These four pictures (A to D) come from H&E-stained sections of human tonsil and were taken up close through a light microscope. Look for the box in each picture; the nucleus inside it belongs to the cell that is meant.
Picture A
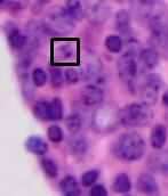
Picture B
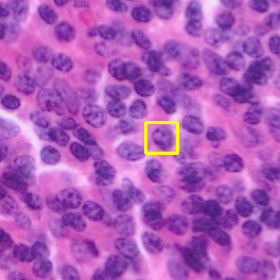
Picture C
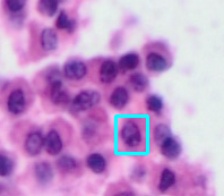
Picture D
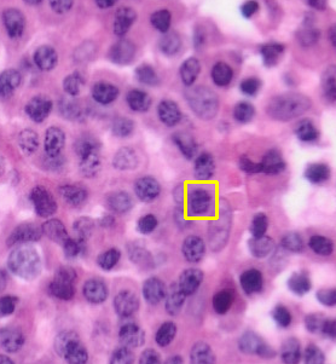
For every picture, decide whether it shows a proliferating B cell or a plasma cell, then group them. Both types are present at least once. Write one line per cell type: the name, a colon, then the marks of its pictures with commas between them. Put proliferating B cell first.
proliferating B cell: A
plasma cell: B, C, D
